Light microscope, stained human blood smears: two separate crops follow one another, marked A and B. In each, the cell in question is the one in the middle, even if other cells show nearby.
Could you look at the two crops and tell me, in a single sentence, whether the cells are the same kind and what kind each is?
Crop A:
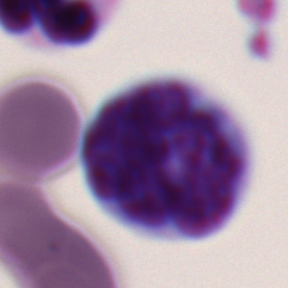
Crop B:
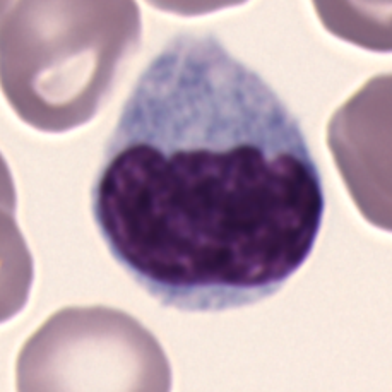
Yes, monocytes are the cells shown in both crops.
